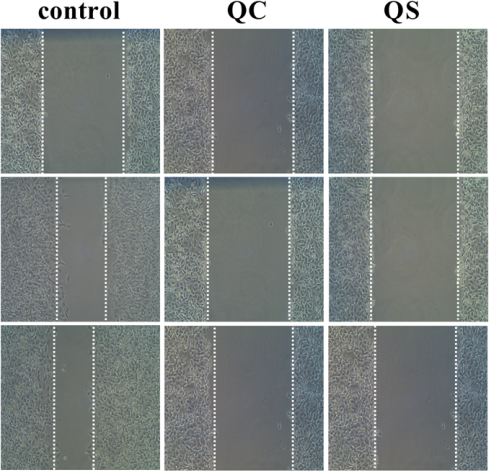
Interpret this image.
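In every frame a smooth, cell-free band of scratched wound runs vertically between two white dotted lines. Densely packed cells form a continuous sheet on either side. The band is clearly narrower in some frames, where the cell sheets lie closer together, than in others.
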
